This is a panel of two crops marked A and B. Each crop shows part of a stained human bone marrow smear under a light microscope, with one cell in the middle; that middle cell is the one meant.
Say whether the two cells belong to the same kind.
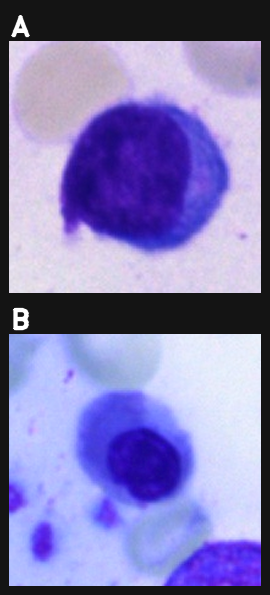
no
